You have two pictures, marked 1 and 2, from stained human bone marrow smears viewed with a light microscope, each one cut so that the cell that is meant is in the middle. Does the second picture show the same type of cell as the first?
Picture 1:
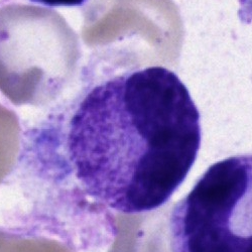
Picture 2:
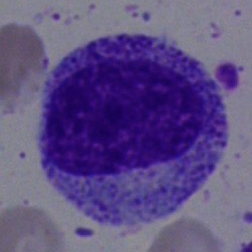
no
